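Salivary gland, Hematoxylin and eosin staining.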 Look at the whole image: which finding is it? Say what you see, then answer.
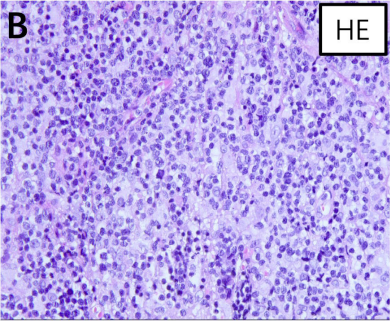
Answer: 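The field is filled by a dense sheet of small cells with dark round nuclei. No normal glandular structures interrupt the sheet of cells. So: diffuse lymphocytes infiltrating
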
